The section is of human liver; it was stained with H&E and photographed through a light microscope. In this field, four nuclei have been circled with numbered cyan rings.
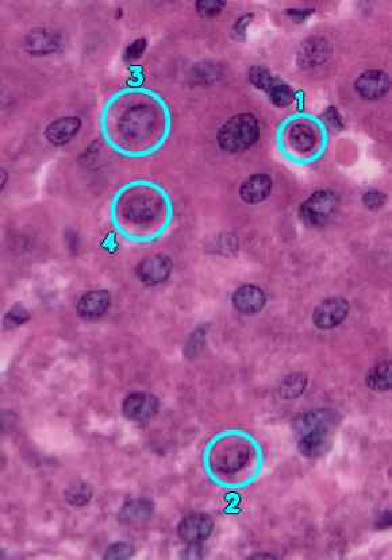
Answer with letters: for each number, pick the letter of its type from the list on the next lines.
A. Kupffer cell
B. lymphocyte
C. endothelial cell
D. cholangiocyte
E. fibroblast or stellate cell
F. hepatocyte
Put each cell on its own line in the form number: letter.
1: A
2: F
3: F
4: F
